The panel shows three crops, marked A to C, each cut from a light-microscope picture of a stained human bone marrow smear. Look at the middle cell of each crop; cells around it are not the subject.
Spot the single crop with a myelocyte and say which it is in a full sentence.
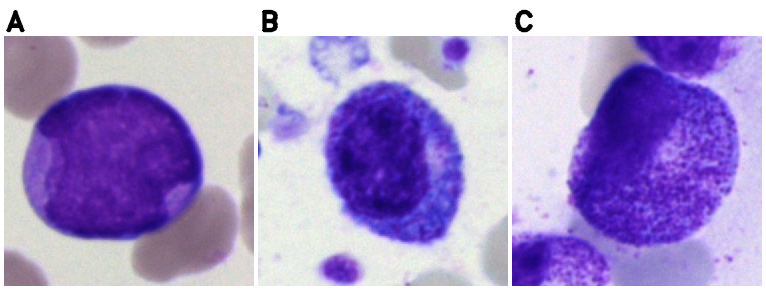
It is crop B that shows a myelocyte.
